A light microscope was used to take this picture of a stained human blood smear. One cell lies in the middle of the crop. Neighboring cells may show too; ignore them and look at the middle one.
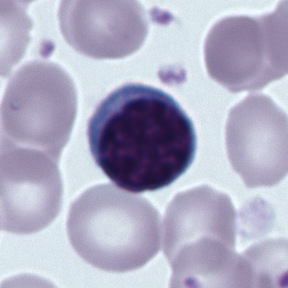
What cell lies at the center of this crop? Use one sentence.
Among the cells in view, the one in the middle is a typical lymphocyte.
